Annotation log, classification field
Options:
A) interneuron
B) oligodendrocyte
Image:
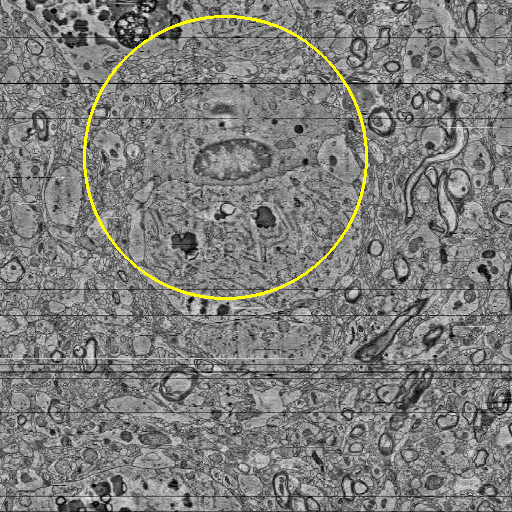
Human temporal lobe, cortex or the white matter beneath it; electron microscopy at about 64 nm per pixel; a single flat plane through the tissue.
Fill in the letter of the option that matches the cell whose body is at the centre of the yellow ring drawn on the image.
B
